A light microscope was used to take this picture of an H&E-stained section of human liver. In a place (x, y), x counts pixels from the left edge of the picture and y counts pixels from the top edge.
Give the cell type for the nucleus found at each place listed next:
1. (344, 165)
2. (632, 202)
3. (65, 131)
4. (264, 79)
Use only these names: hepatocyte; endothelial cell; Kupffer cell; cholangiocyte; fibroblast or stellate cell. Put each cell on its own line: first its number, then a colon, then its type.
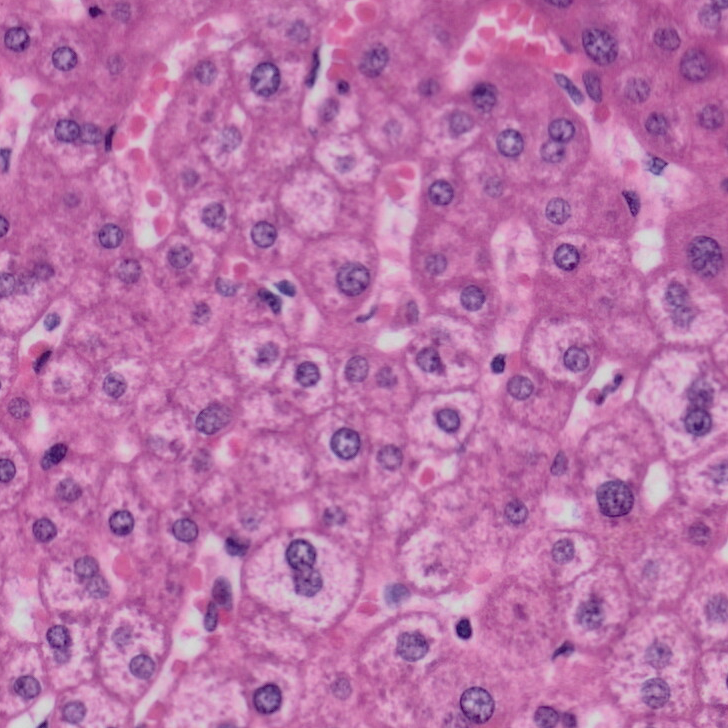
1: hepatocyte
2: fibroblast or stellate cell
3: hepatocyte
4: hepatocyte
